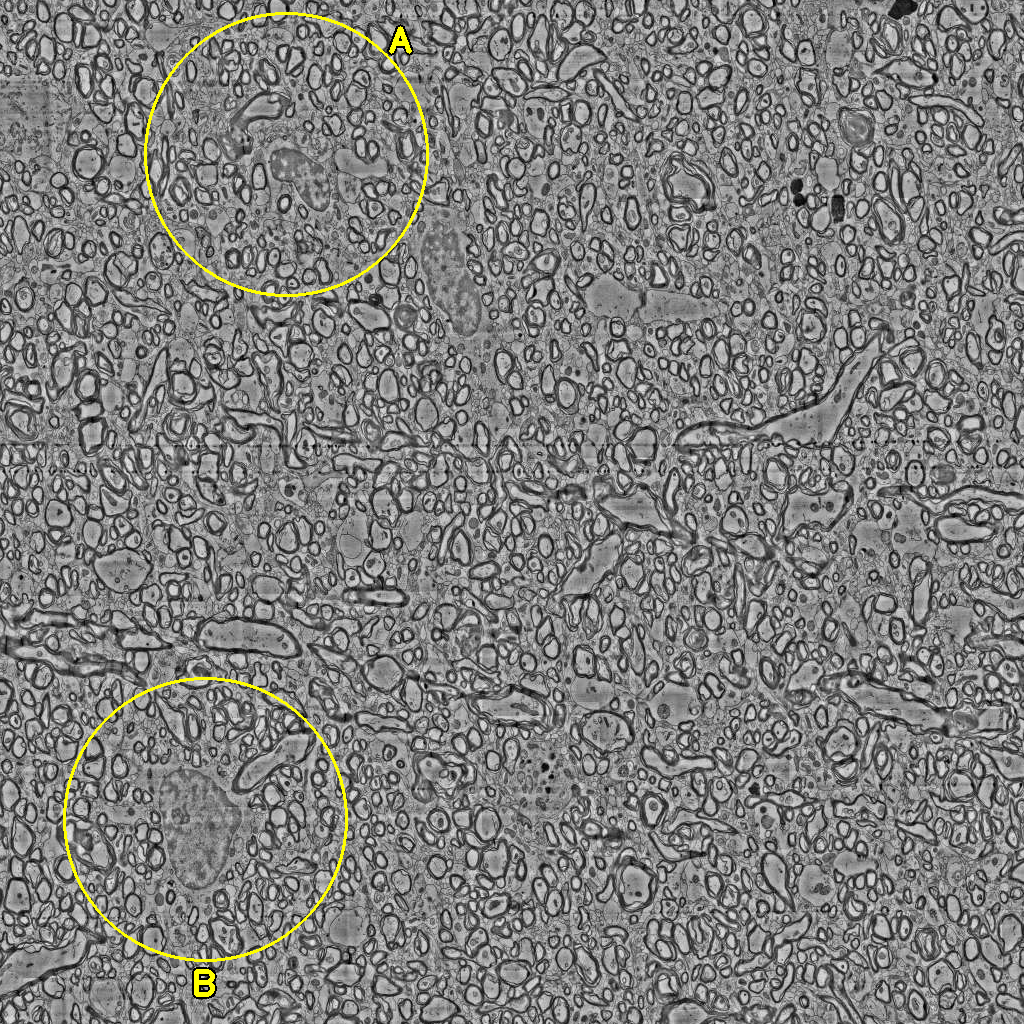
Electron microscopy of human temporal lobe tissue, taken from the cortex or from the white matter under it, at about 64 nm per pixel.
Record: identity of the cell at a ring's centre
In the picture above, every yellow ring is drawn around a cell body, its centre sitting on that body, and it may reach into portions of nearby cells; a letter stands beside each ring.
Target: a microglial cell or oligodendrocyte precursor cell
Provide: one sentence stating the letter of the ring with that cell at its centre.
The letter of the ring centred on a cell of that kind is A.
